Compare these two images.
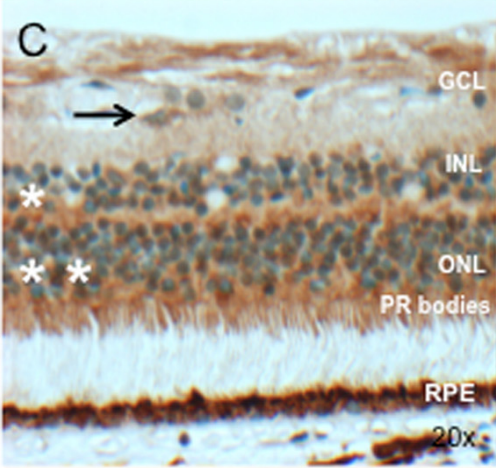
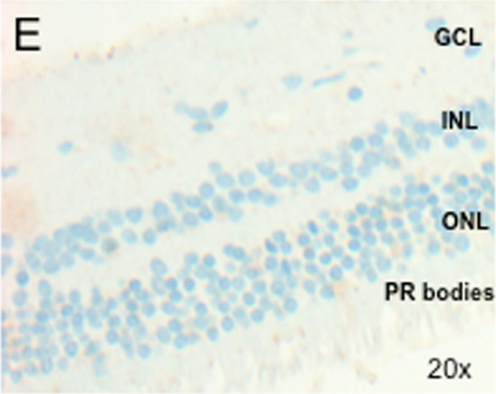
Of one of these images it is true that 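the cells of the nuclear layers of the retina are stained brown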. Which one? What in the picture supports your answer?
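Second image: the nuclei of both nuclear layers are pale blue with little or no brown. First image: the nuclear layers and the spaces between nuclei carry brown stain.
Conclusion: the first image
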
